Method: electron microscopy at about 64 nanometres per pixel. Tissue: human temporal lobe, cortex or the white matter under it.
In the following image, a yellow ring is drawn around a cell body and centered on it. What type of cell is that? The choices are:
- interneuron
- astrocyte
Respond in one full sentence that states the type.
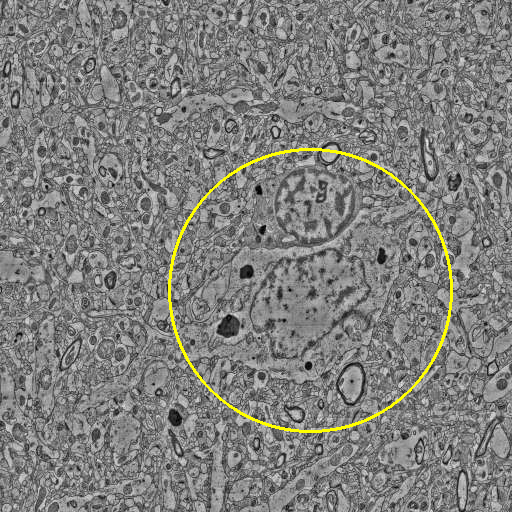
The cell at the center of the yellow ring in the image is an interneuron.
